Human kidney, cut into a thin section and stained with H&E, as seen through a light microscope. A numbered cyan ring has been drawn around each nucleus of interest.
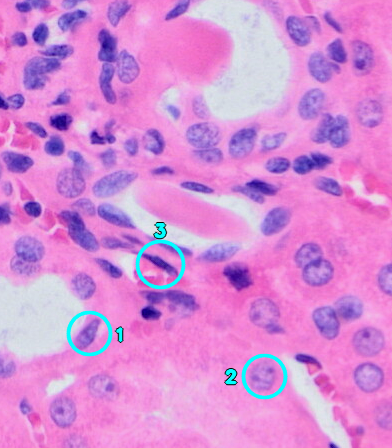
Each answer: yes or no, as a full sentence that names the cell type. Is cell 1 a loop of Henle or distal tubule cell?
Yes, the cell marked by the number 1 is a loop of Henle or distal tubule cell.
